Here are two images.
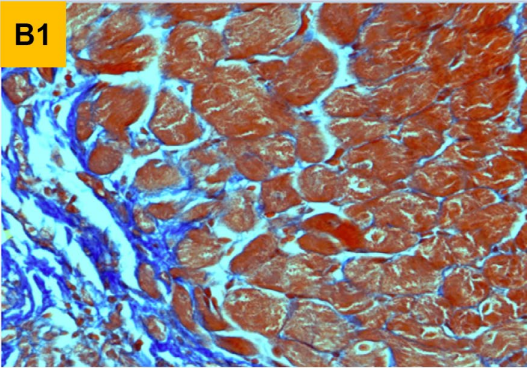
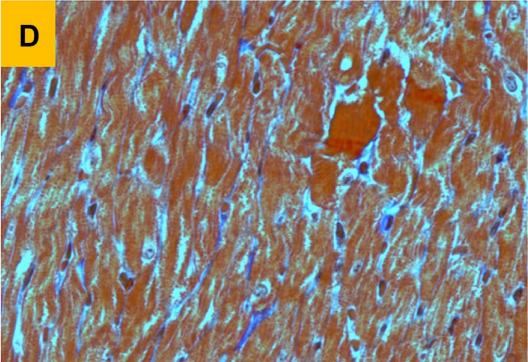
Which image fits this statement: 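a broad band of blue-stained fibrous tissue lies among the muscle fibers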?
The first image.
